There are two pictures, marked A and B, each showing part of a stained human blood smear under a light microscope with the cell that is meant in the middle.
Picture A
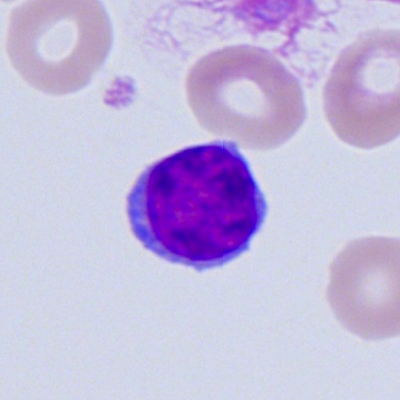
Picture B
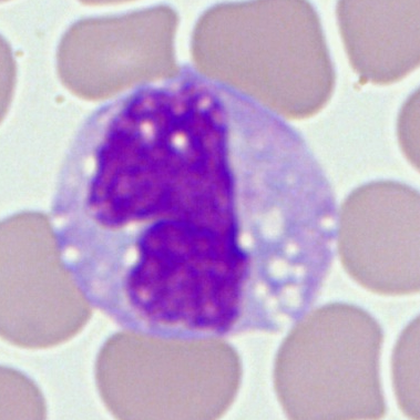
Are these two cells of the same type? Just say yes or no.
no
